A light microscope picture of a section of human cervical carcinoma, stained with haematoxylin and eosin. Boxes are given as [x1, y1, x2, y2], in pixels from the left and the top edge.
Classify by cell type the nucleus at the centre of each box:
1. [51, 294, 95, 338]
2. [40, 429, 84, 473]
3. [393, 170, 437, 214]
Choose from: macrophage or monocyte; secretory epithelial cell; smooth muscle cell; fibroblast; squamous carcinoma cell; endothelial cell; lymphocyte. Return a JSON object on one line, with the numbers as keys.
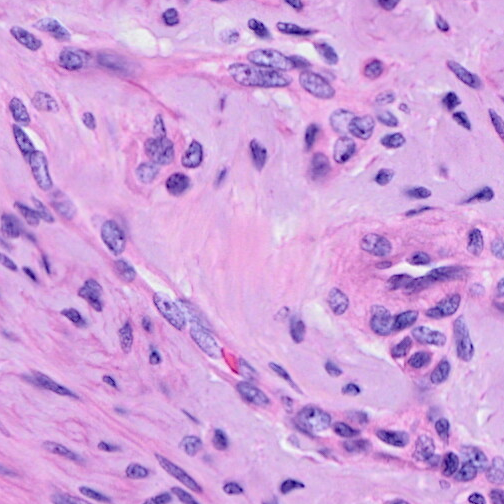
{"1": "smooth muscle cell", "2": "smooth muscle cell", "3": "fibroblast"}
